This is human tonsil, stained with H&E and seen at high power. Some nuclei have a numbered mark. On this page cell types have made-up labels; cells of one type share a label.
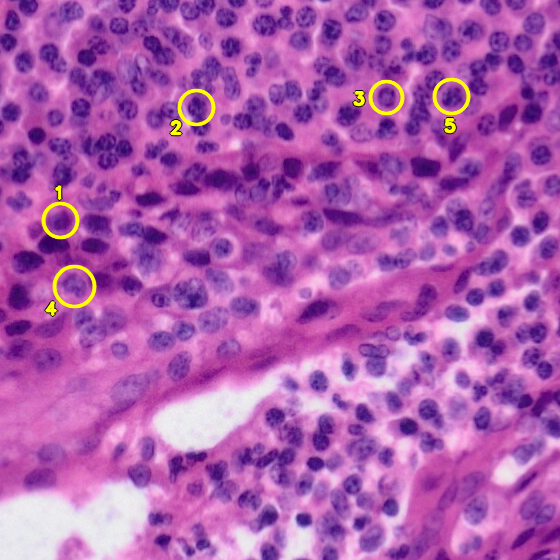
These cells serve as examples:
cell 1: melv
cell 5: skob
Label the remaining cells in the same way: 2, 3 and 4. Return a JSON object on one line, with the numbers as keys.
{"2": "skob", "3": "skob", "4": "melv"}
